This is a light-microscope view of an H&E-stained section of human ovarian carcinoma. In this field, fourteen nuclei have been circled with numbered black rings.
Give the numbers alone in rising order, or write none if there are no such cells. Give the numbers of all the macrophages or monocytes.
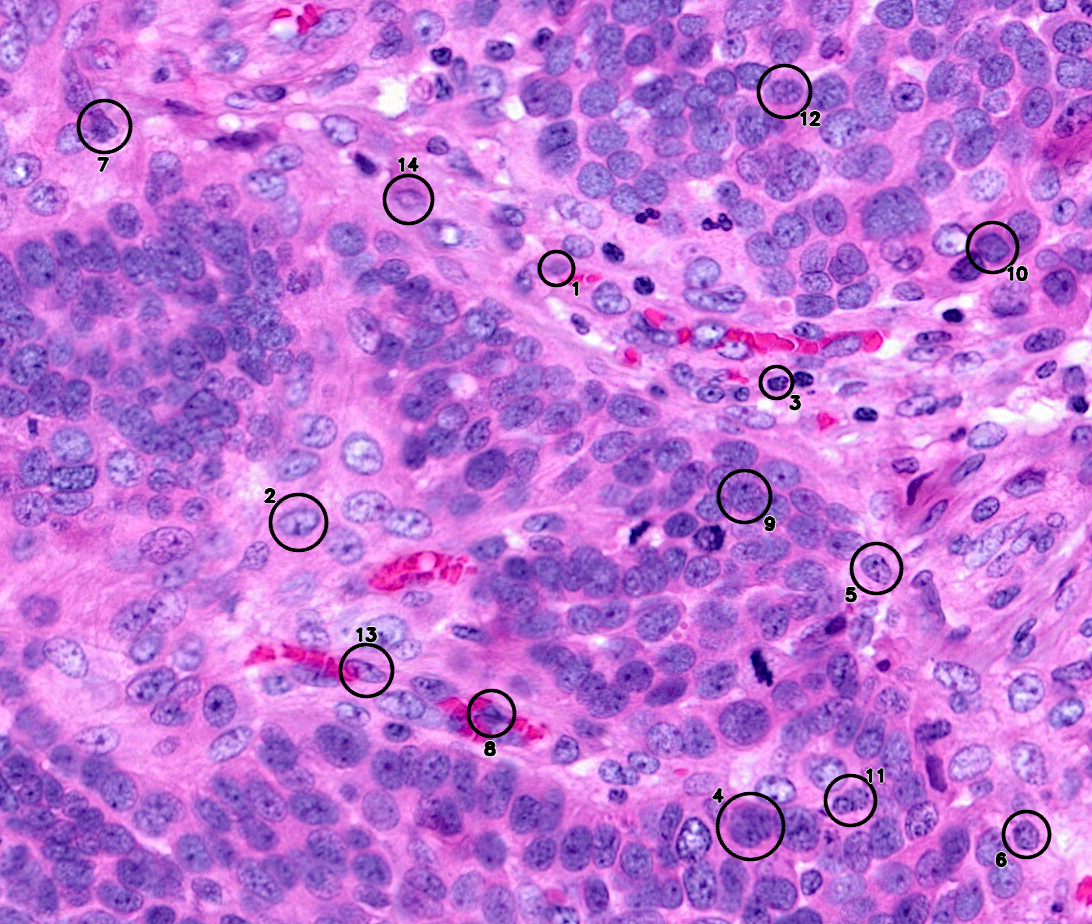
5, 6, 7, 11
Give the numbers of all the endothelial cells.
1, 8, 13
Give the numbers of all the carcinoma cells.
4, 9, 10, 12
